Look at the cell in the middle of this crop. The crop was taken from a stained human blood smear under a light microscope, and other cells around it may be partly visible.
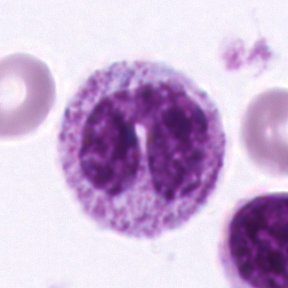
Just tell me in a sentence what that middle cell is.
The central cell, amid any neighbouring cells, is a band neutrophil.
